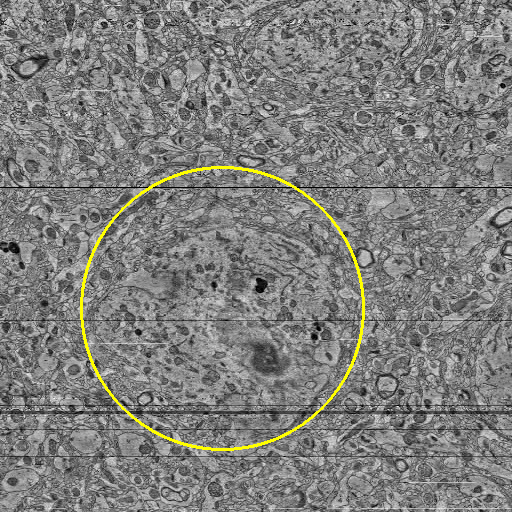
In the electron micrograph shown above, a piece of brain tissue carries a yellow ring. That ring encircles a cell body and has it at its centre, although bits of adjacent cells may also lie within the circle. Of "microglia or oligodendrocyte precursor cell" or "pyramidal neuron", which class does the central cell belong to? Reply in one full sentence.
The cell body at the centre of the yellow ring belongs to a microglial cell or oligodendrocyte precursor cell.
